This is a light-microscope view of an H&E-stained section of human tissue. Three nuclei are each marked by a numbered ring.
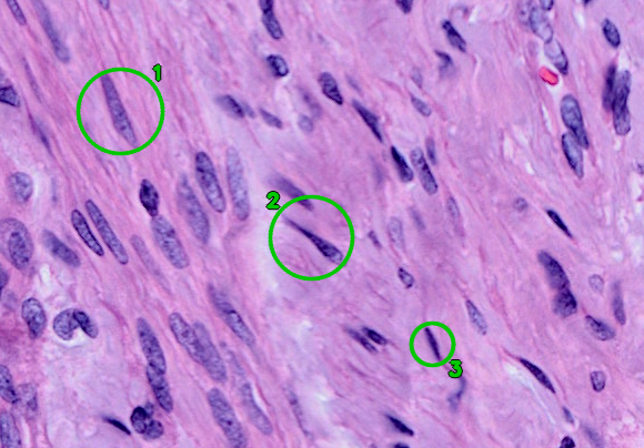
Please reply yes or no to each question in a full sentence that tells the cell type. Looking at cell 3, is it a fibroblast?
Yes, the cell identified as number 3 is a fibroblast.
